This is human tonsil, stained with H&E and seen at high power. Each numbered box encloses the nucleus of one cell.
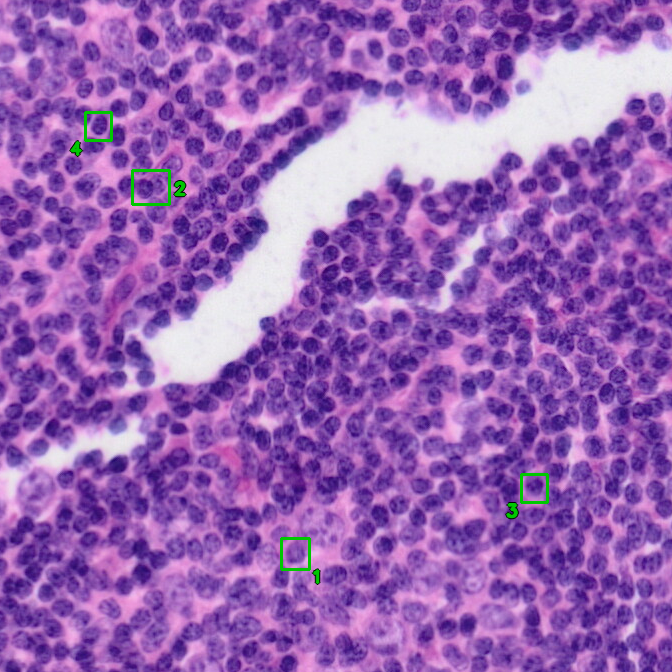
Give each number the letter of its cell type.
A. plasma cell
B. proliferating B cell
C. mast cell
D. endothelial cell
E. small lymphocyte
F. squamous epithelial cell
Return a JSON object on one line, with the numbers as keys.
{"1": "B", "2": "E", "3": "E", "4": "E"}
